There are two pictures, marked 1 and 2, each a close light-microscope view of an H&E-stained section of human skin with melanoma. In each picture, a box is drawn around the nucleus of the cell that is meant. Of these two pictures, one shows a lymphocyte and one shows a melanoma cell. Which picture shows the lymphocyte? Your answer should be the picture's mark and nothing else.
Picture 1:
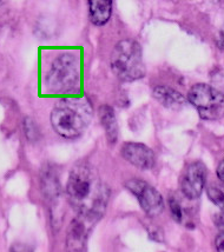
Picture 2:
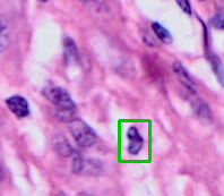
2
